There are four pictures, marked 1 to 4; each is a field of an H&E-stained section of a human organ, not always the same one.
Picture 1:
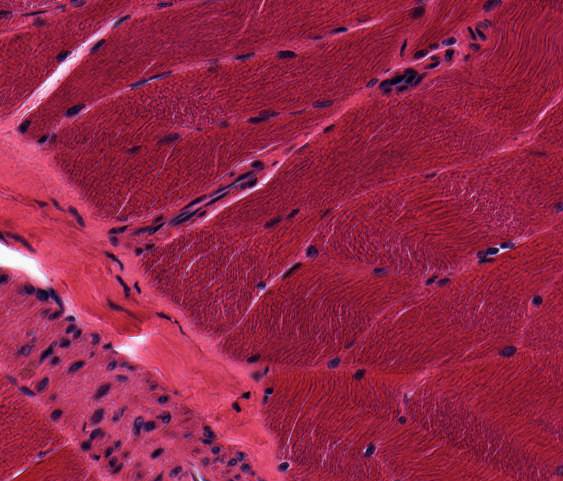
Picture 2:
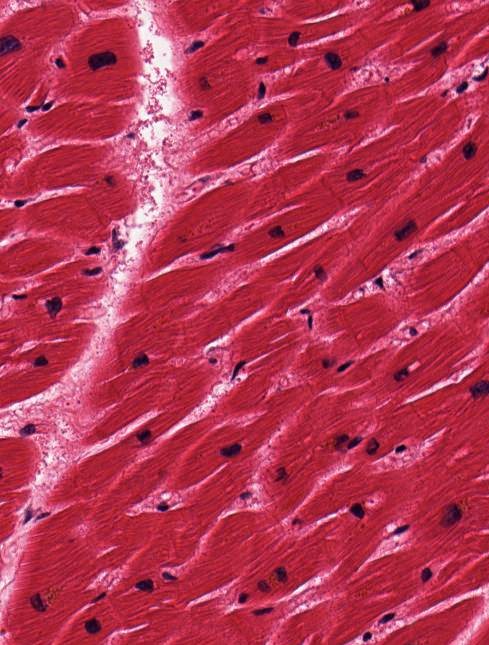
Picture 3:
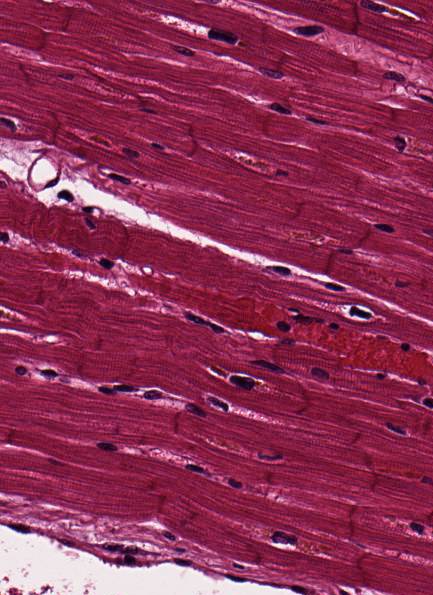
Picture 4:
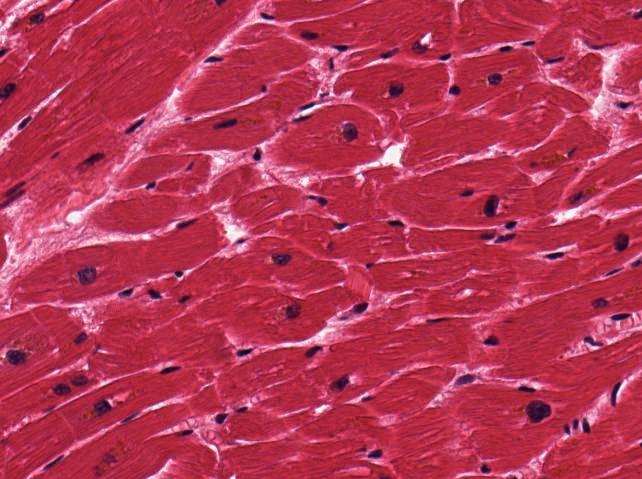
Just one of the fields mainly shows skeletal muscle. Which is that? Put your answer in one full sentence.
Picture 1 mainly shows skeletal muscle.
